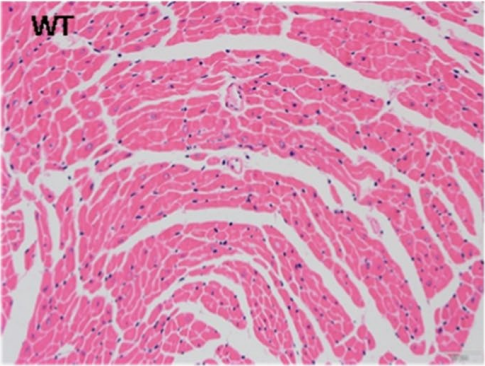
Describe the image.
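Heart muscle cut across and obliquely, showing cardiomyocytes as closely packed, bright pink polygonal profiles grouped into curving bundles. Small dark blue nuclei lie within and between the fibres, and wide pale clefts separate the bundles.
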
